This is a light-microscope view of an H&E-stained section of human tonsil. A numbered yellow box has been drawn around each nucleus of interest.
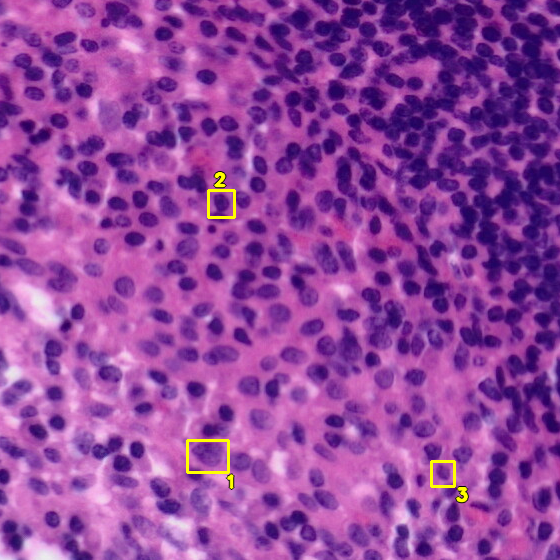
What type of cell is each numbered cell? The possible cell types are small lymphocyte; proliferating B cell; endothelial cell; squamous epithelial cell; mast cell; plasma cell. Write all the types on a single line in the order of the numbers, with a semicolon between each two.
squamous epithelial cell; plasma cell; plasma cell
